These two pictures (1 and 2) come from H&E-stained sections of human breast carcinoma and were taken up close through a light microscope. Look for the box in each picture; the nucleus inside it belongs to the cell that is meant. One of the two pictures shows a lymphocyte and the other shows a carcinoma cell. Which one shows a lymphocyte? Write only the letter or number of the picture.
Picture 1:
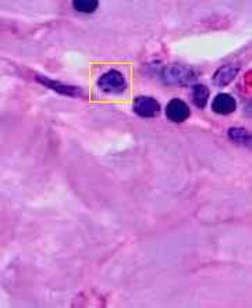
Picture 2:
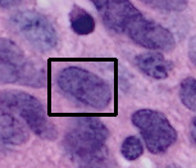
1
